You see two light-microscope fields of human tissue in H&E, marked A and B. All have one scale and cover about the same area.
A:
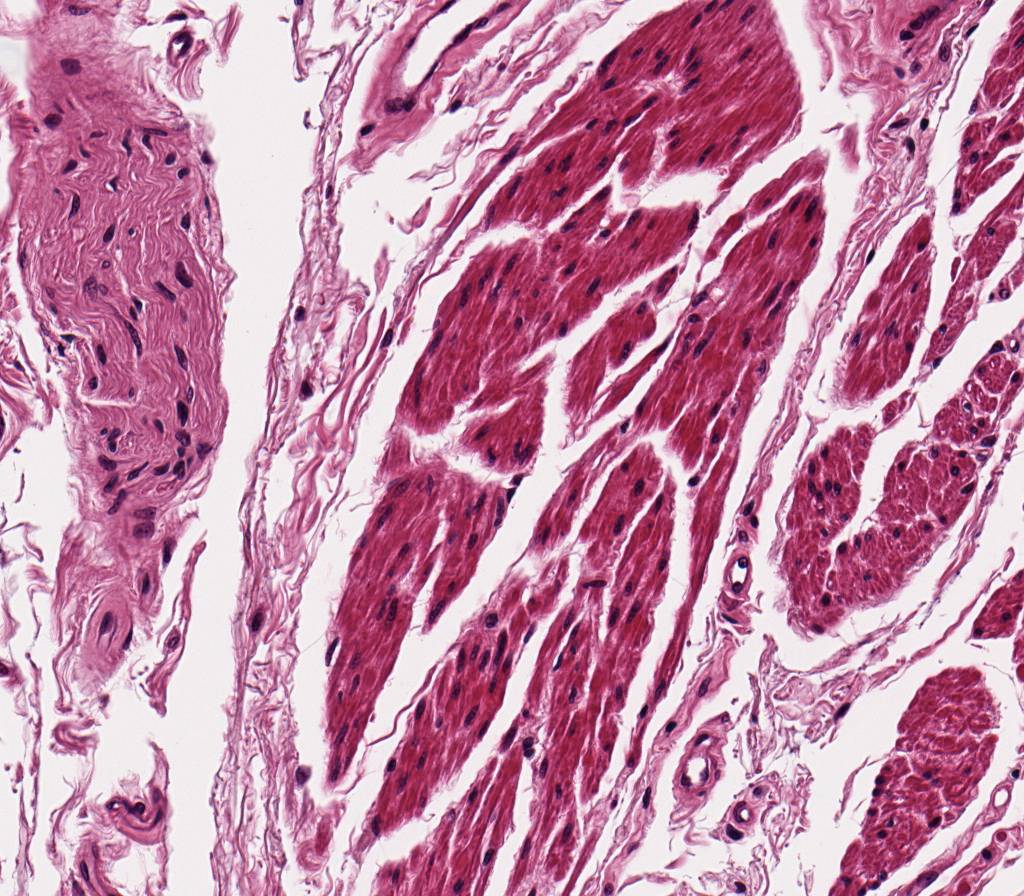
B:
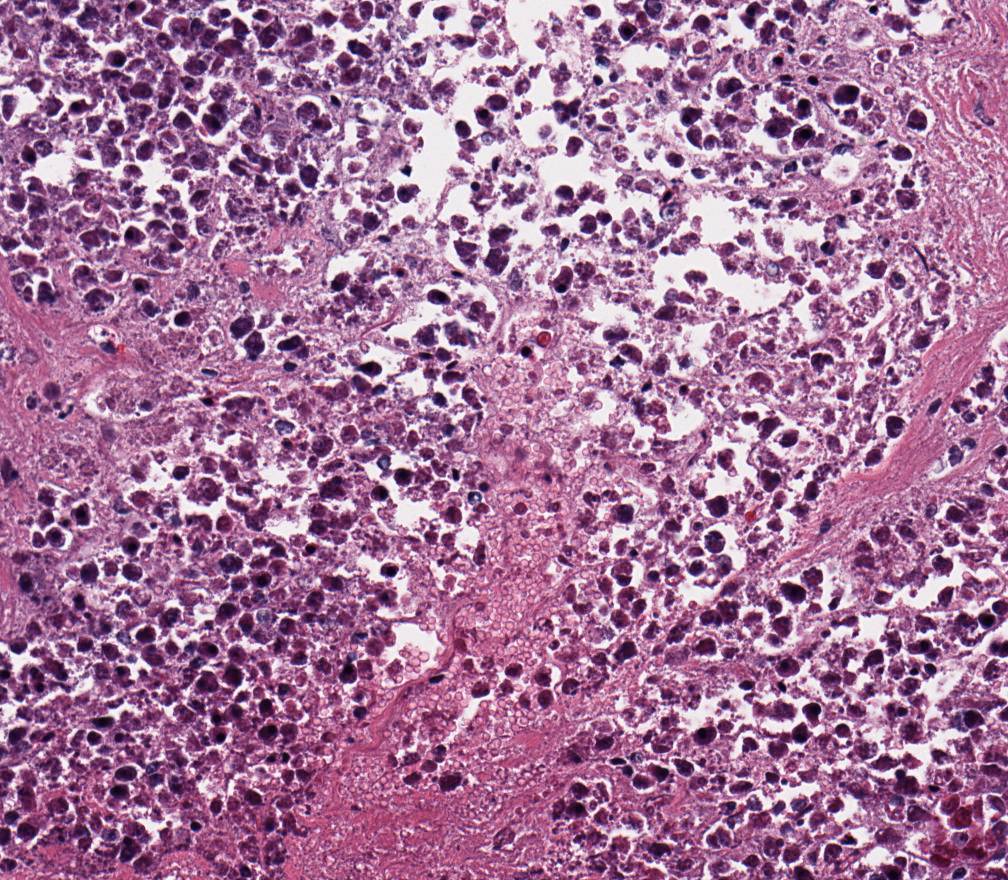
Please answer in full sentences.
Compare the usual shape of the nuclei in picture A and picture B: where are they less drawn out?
It is picture B whose nuclei are the rounder.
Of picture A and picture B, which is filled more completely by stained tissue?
It is picture B that stained tissue fills more completely.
